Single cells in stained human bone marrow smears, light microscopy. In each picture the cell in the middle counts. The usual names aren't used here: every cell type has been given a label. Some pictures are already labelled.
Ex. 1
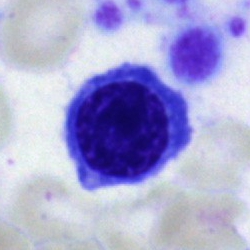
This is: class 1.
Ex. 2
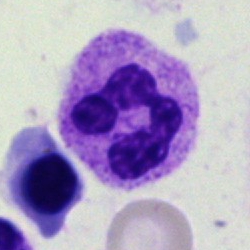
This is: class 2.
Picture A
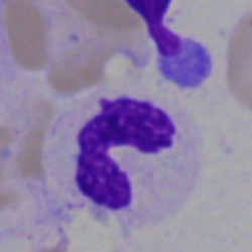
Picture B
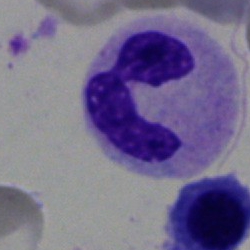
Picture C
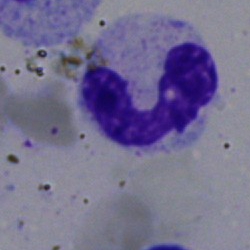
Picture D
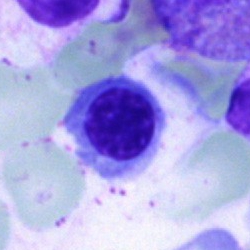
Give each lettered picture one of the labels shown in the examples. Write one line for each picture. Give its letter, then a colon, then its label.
A: class 2.
B: class 2.
C: class 2.
D: class 1.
